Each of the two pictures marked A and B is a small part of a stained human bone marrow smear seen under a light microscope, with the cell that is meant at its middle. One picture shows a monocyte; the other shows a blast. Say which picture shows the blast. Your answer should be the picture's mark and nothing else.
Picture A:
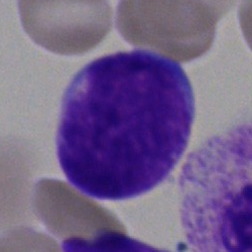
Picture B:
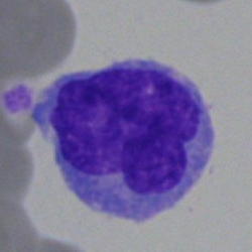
A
